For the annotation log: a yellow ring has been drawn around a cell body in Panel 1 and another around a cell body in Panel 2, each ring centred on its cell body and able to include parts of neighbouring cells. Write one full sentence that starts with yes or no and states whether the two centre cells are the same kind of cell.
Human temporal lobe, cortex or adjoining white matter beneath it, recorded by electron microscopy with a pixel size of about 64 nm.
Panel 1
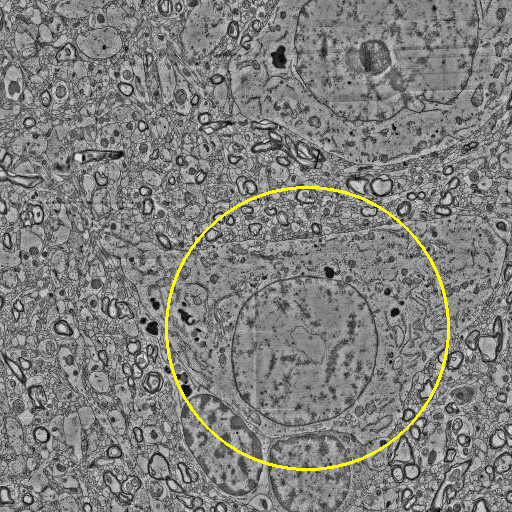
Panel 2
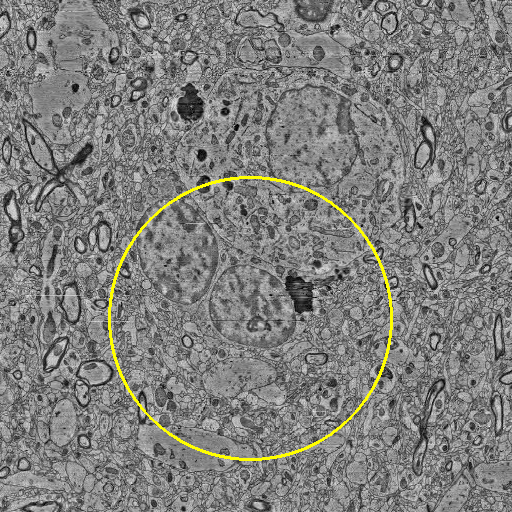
No, the two centre cells are two kinds of cell.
